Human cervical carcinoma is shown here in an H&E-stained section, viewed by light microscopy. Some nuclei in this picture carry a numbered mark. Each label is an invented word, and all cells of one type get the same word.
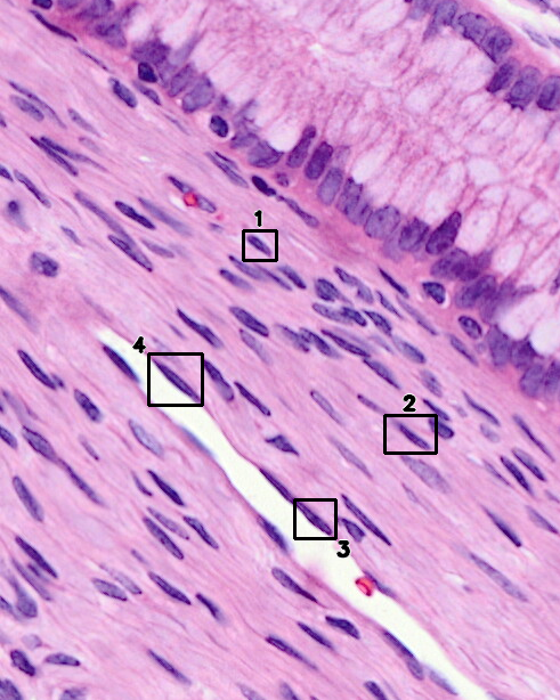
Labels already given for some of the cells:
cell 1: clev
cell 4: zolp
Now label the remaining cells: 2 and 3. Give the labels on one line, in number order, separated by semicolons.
clev; zolp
